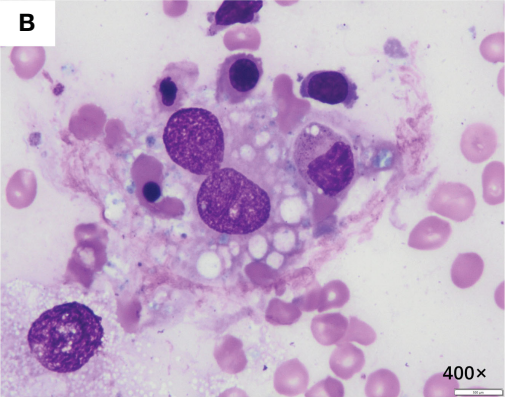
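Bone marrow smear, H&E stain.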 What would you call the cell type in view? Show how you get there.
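A large cell with abundant pale, vacuolated cytoplasm. Small dark nuclei and red cells lie within its cytoplasm. That points to this answer: hemophagocytes.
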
